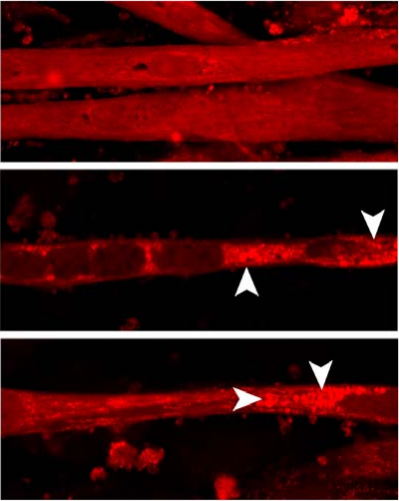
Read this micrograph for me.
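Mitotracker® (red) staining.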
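Long, broad, tube-shaped cells run horizontally across the field, and their cytoplasm is filled with red stain. In the top image, the tubes are evenly stained along their length, with a fine, fairly uniform texture. In the two lower images, single tubes show patchy staining. Bright, coarse, granular red clumps sit at points along the tube, separated by stretches of weaker stain. Small bright red specks and debris lie scattered in the dark background around the tubes.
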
